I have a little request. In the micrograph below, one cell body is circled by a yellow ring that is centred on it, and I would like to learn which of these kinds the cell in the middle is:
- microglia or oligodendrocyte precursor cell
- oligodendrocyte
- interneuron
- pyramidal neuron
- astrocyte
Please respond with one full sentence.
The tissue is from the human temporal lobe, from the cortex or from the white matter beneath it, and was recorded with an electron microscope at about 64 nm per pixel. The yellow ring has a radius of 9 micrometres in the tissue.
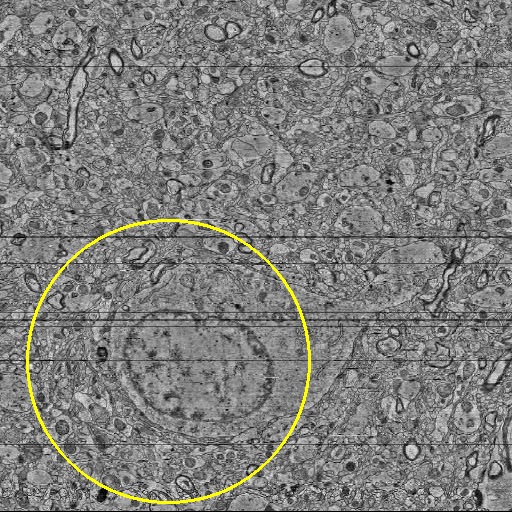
The cell sitting in the middle of the yellow ring in the micrograph is an interneuron.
